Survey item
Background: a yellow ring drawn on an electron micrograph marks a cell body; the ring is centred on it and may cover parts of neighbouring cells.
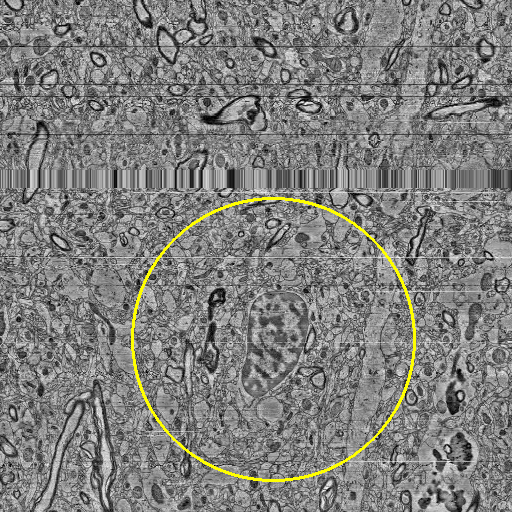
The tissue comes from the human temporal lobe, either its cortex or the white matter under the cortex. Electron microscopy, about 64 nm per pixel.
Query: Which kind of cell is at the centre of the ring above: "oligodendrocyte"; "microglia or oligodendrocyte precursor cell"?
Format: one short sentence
The cell in the middle of the ring is a microglial cell or oligodendrocyte precursor cell.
